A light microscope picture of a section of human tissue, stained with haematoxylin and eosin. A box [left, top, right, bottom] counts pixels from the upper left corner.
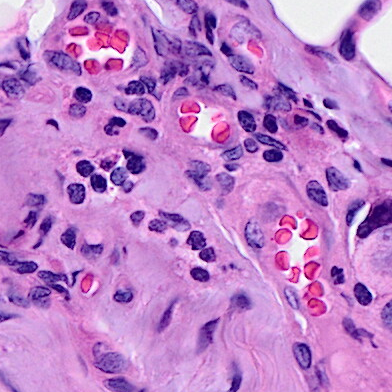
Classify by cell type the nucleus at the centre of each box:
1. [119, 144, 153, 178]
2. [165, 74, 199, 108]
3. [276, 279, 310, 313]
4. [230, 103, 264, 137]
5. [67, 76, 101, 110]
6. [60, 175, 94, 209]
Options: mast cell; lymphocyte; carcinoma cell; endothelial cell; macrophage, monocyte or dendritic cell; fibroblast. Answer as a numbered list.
1. lymphocyte
2. endothelial cell
3. endothelial cell
4. lymphocyte
5. lymphocyte
6. lymphocyte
